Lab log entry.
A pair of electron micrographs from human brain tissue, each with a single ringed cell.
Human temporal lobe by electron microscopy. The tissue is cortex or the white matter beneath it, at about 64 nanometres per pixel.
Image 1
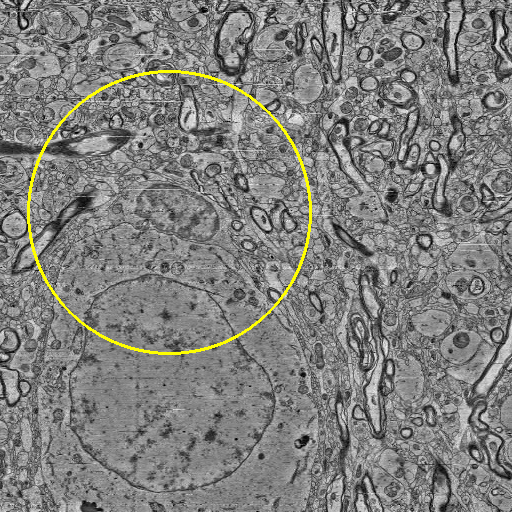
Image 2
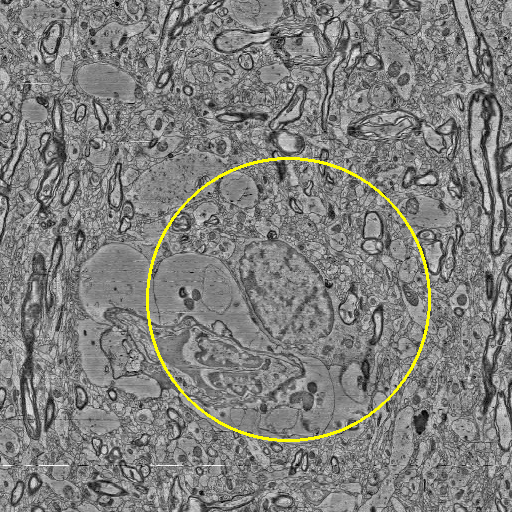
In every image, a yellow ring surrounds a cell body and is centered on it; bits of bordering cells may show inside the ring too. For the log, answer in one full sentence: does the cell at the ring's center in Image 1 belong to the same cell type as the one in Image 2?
Yes, the cells at the ring centers in Image 1 and Image 2 share one type.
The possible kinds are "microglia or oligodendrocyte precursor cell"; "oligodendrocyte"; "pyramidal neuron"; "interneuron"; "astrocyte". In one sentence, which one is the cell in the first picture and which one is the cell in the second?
Each one of the two ringed cells is an oligodendrocyte.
